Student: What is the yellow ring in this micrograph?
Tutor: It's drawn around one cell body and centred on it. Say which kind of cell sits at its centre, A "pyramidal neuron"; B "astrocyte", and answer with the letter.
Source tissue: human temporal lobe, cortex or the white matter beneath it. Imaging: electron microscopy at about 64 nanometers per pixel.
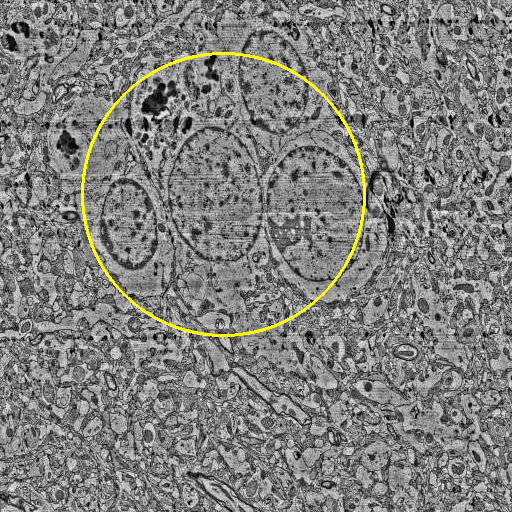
B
